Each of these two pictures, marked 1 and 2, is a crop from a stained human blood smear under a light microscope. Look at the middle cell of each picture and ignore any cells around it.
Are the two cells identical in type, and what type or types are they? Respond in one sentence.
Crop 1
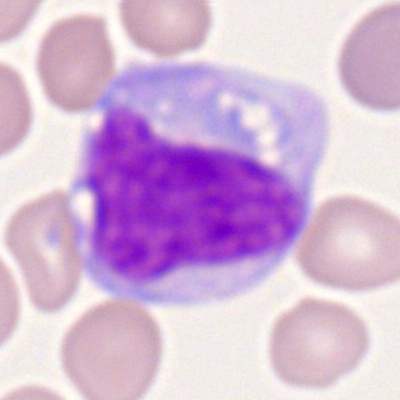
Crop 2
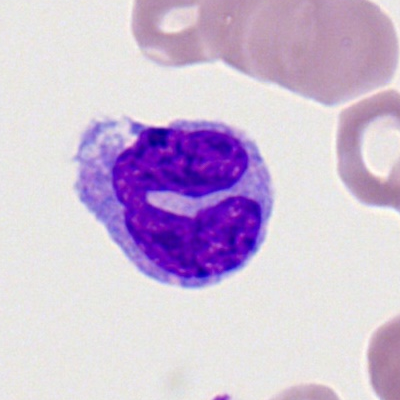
Yes, the cells that the two crops centre on are monocytes.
